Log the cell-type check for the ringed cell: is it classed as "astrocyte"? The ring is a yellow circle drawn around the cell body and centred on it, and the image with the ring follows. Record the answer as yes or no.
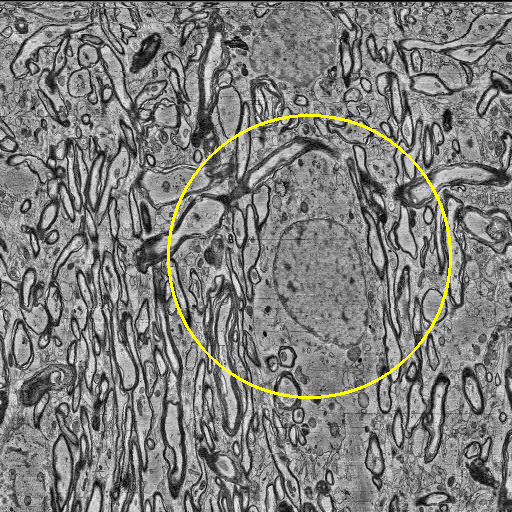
Yes, it is classed that way.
